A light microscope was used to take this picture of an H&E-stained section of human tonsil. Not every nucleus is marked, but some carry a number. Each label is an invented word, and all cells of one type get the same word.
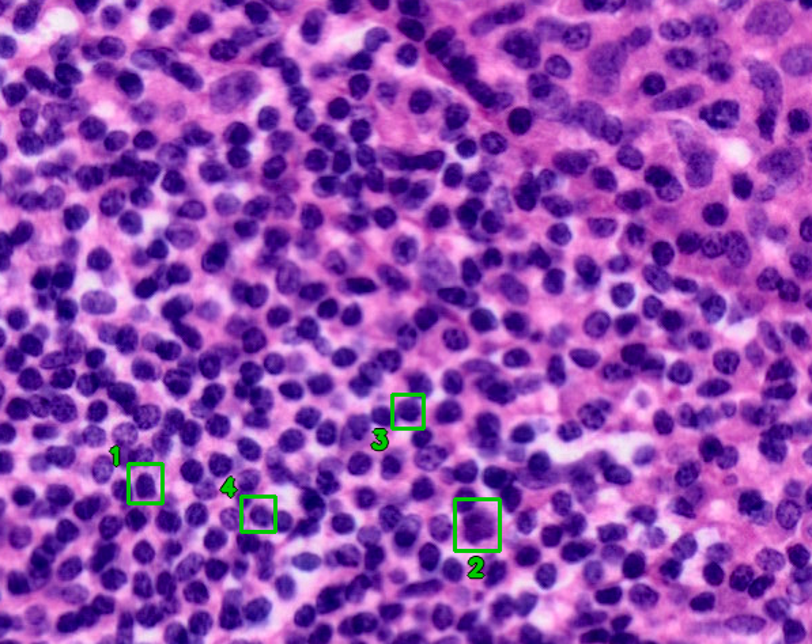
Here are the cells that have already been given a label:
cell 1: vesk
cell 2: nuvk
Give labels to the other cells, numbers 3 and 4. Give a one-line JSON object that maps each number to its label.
{"3": "vesk", "4": "vesk"}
